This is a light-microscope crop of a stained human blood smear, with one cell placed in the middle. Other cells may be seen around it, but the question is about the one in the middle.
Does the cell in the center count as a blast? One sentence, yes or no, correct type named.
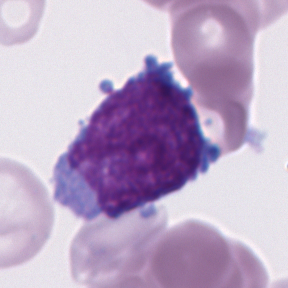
Yes, the cell that occupies the centre is a blast.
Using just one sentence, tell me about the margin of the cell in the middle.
Smoothness is lacking at the edge, which is ragged in places or drawn into projections.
